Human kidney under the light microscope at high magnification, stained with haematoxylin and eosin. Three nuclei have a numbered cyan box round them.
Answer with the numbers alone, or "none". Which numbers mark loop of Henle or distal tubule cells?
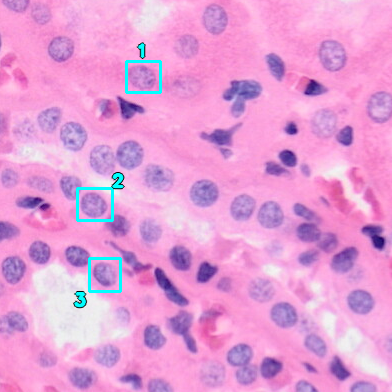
3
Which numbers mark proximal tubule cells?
1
